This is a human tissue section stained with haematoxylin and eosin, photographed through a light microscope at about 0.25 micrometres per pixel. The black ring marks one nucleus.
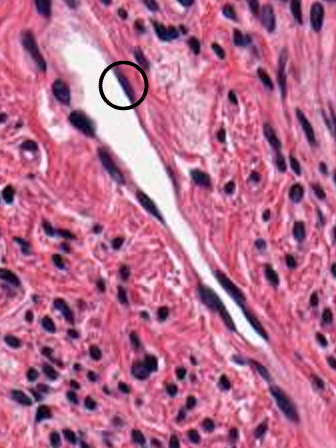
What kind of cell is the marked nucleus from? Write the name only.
endothelial cell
